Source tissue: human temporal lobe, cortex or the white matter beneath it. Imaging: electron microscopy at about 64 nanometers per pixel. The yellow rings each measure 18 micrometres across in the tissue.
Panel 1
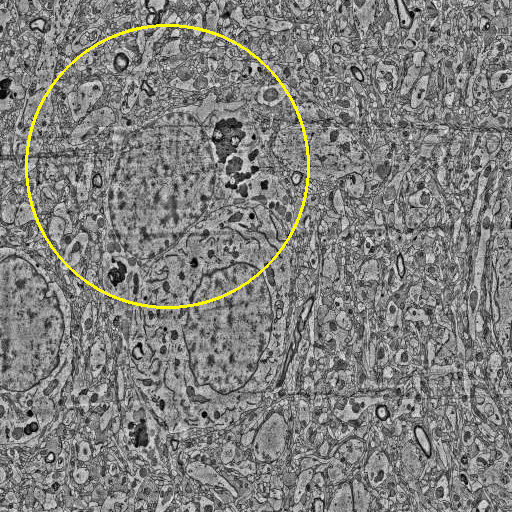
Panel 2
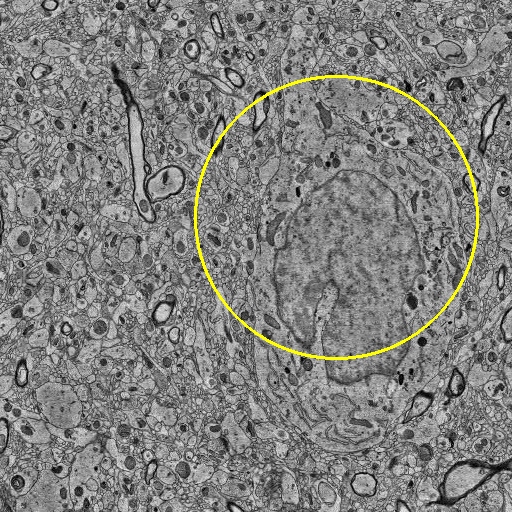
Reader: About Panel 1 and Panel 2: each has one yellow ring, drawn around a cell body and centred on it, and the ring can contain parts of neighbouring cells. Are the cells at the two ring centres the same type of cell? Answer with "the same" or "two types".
two types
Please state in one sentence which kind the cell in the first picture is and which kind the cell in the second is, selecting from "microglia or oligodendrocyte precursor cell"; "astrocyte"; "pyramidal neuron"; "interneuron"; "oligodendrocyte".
The first ringed cell is an astrocyte, the second ringed cell an interneuron.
